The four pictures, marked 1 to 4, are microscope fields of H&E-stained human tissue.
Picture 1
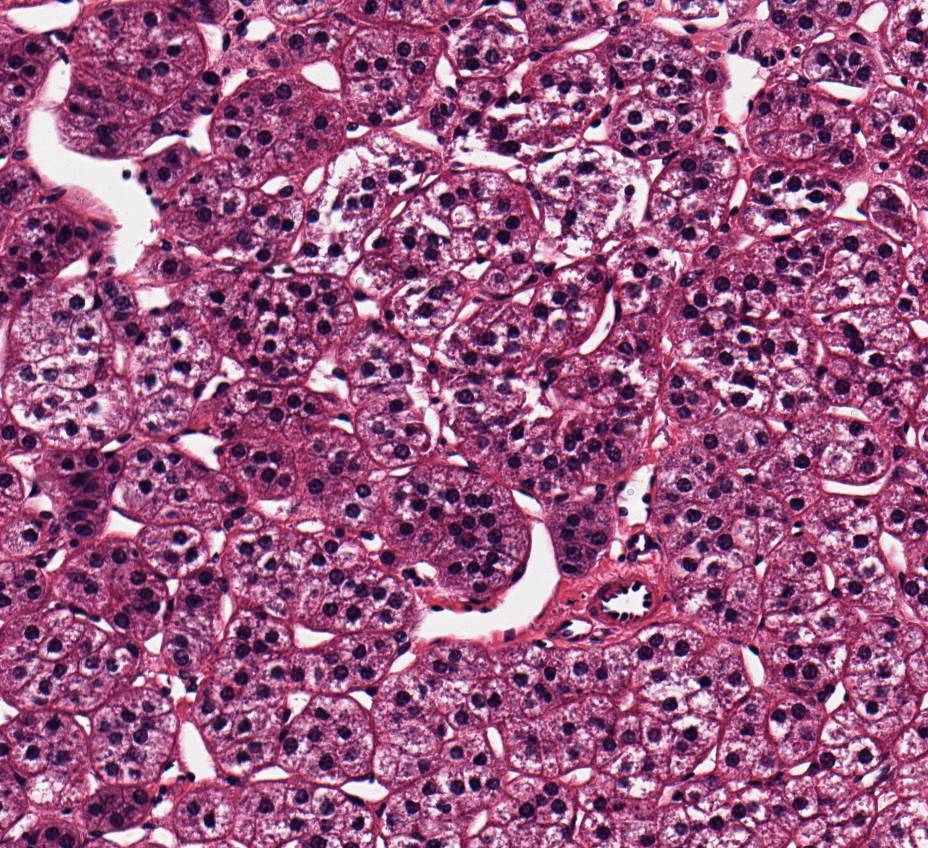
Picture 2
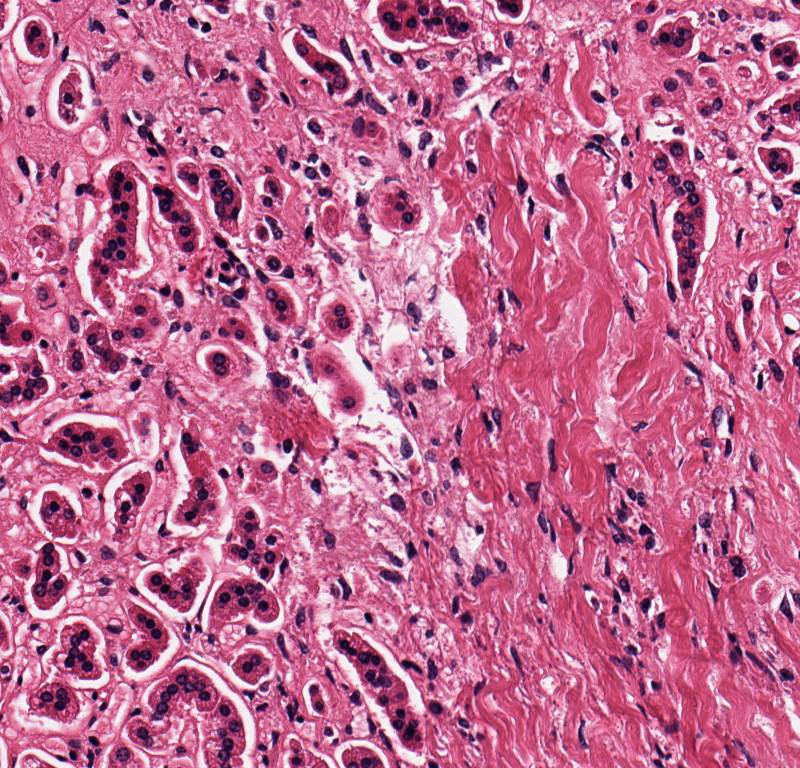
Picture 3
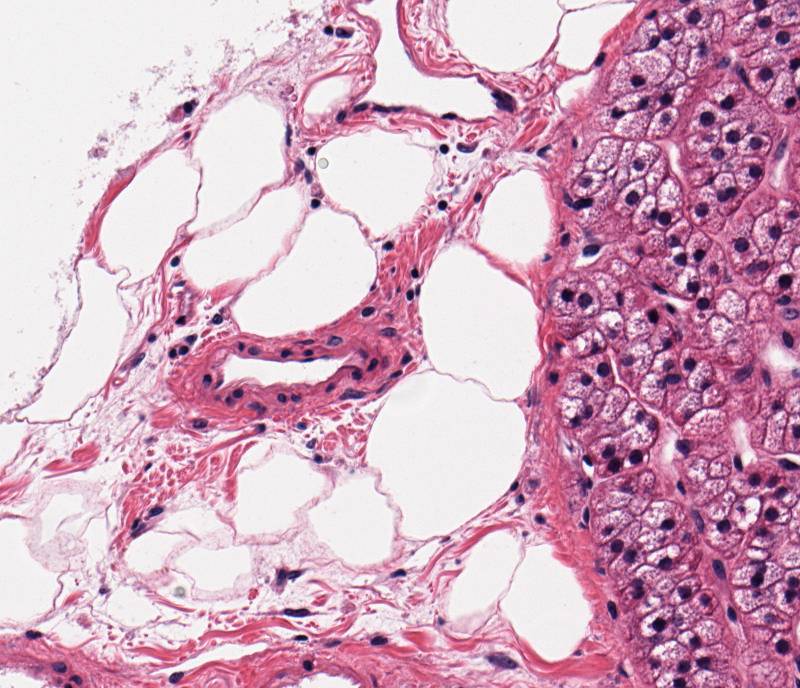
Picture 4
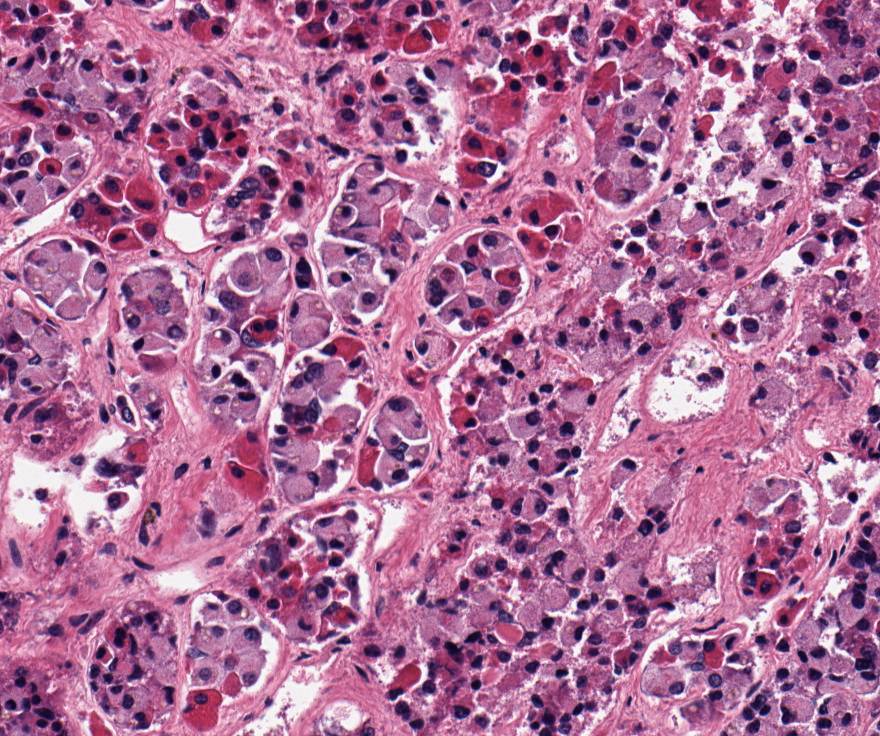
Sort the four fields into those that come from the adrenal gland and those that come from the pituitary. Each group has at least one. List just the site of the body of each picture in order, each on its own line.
adrenal gland
adrenal gland
adrenal gland
pituitary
